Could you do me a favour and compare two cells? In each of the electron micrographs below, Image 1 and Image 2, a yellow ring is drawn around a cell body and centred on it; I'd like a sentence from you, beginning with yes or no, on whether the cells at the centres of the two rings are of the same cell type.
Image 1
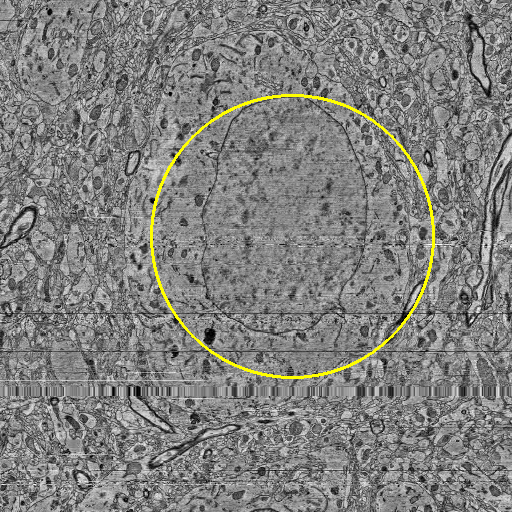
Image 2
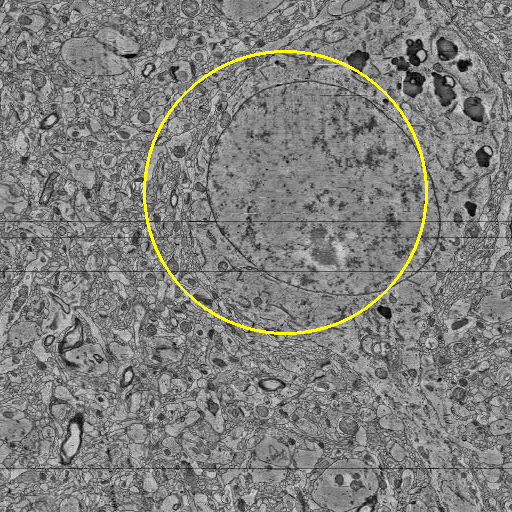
Yes, the two cells are of the same cell type.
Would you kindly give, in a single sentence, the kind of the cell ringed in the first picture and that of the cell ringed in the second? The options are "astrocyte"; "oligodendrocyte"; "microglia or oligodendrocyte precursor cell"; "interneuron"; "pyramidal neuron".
Both cells are the same kind, each one being a pyramidal neuron.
